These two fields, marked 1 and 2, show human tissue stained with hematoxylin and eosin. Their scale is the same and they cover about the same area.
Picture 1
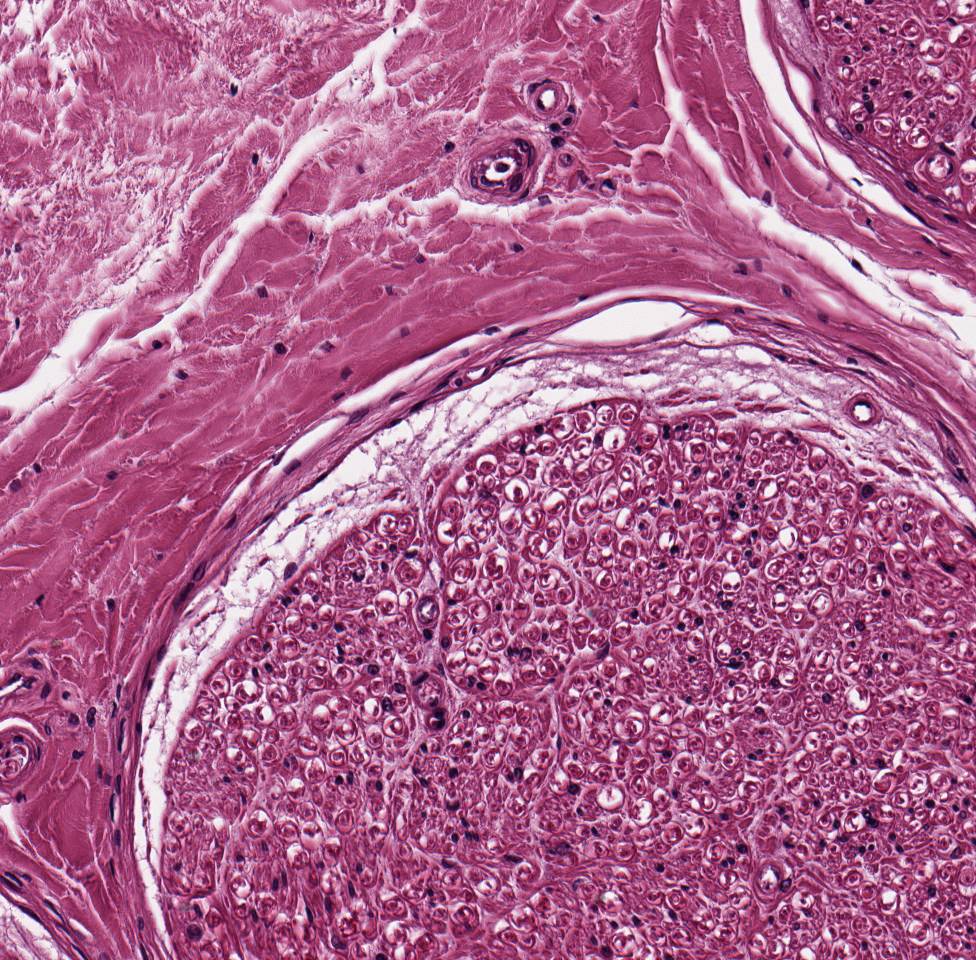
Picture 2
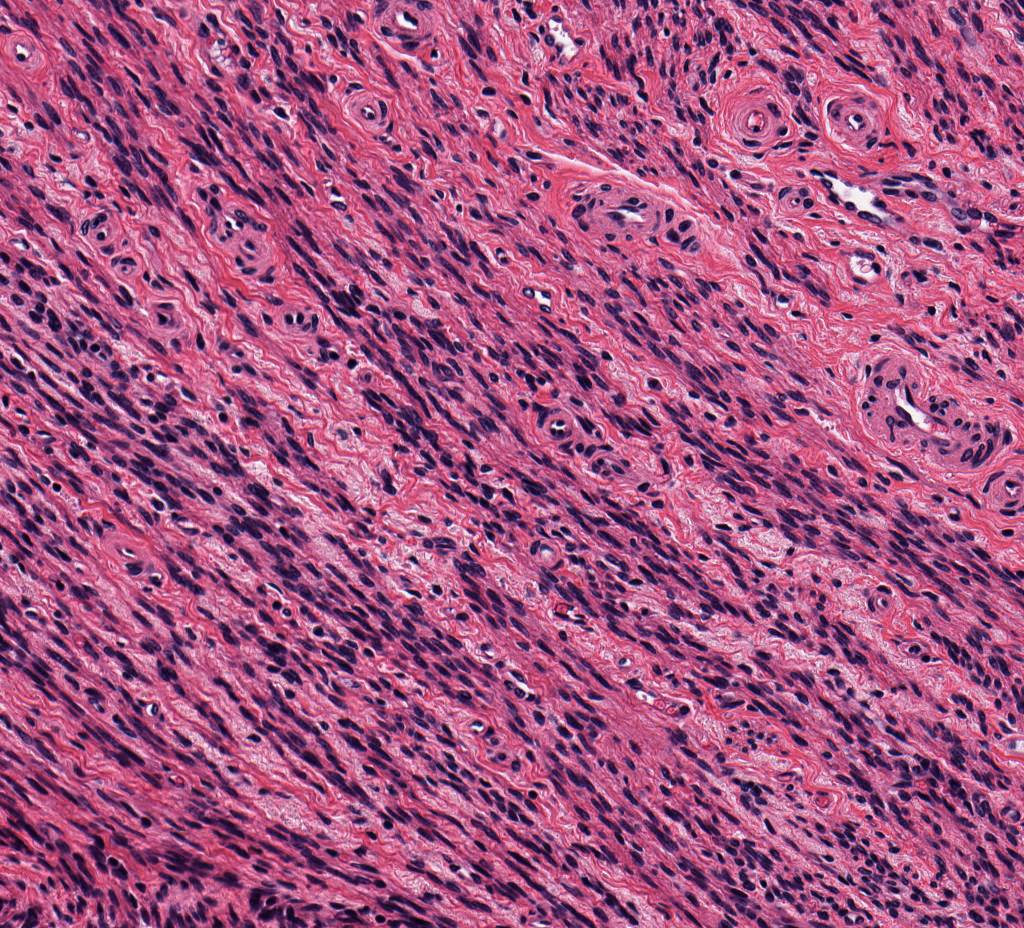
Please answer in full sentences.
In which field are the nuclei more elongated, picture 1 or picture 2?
The nuclei are more elongated in picture 2.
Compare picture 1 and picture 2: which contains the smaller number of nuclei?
The smaller number of nuclei is in picture 1.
